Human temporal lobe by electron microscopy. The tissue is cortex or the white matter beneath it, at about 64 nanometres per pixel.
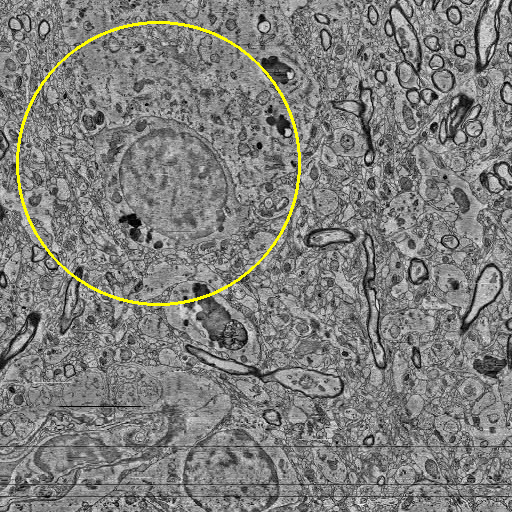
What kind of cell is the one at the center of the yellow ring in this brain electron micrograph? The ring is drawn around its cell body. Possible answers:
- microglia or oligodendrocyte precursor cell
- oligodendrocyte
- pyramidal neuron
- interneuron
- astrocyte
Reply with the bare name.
oligodendrocyte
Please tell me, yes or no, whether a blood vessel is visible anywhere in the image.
Yes, a vessel appears in the picture.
